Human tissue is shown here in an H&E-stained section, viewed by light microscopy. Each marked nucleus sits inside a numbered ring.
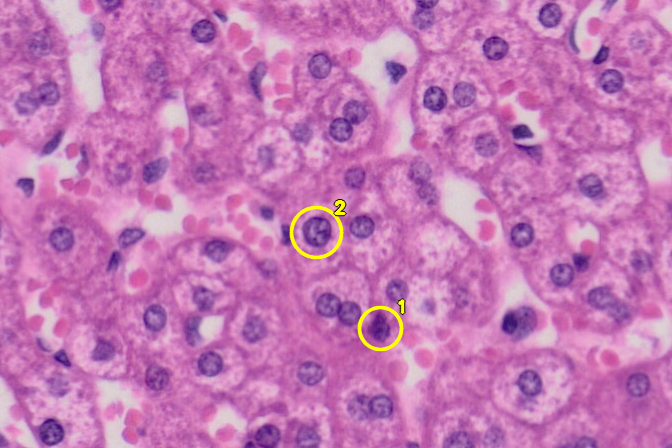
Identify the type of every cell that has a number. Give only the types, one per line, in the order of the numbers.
fibroblast or stellate cell
hepatocyte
